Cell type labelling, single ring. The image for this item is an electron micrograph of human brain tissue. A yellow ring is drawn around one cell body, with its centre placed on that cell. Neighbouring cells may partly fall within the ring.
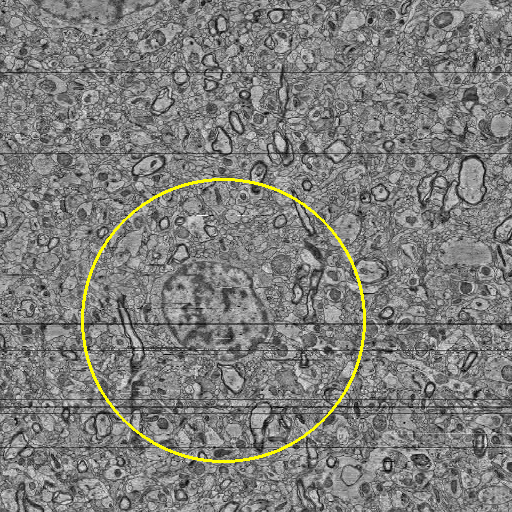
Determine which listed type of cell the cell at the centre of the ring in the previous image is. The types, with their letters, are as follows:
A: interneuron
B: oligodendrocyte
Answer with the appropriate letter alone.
B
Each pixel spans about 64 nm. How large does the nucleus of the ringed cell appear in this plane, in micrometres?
In this plane, the nucleus of the cell at the centre of the ring measures about 7 by 6 micrometres.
